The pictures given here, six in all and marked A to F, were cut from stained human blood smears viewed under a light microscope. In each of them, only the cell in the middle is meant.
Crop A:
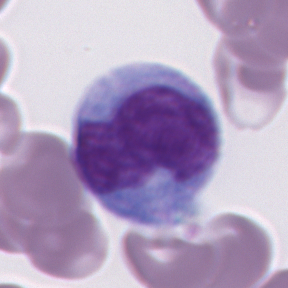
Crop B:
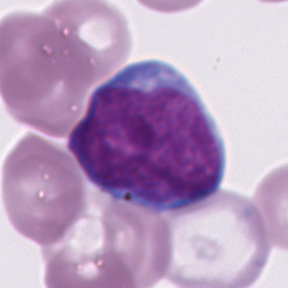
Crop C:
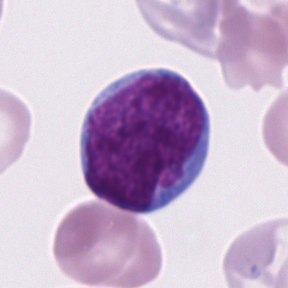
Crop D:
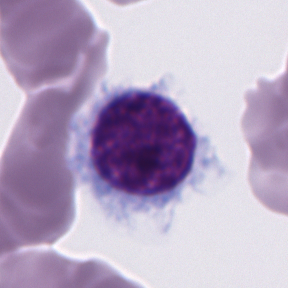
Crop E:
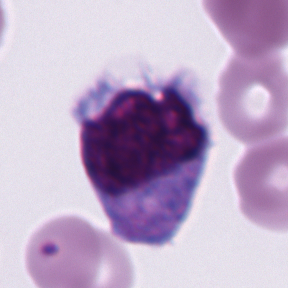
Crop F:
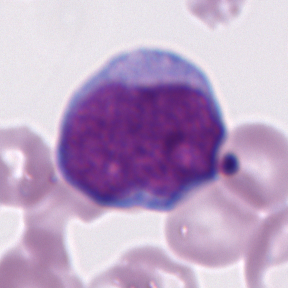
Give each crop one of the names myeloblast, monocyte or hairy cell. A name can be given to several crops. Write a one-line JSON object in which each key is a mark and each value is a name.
{"A": "monocyte", "B": "myeloblast", "C": "myeloblast", "D": "hairy cell", "E": "monocyte", "F": "myeloblast"}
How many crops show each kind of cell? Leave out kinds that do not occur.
myeloblast: 3
monocyte: 2
hairy cell: 1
